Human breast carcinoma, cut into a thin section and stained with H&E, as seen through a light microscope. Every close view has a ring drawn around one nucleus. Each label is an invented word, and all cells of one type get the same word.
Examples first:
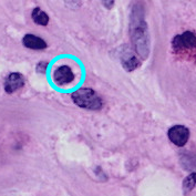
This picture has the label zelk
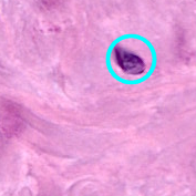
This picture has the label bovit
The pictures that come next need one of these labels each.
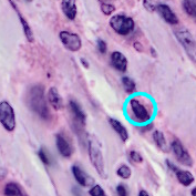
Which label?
zelk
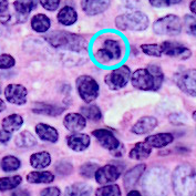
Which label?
zelk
